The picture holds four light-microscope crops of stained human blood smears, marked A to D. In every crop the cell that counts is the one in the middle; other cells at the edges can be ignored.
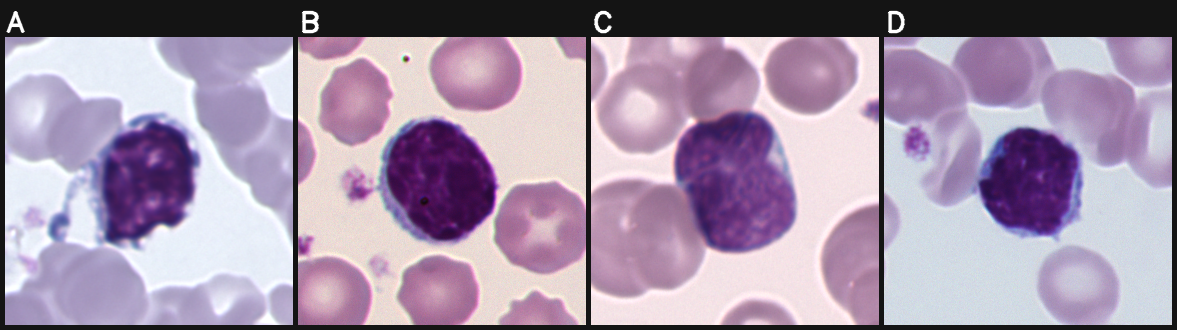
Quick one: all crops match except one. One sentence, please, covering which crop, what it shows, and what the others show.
The exception is crop C, with a myeloblast; the remaining crops all show typical lymphocytes.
